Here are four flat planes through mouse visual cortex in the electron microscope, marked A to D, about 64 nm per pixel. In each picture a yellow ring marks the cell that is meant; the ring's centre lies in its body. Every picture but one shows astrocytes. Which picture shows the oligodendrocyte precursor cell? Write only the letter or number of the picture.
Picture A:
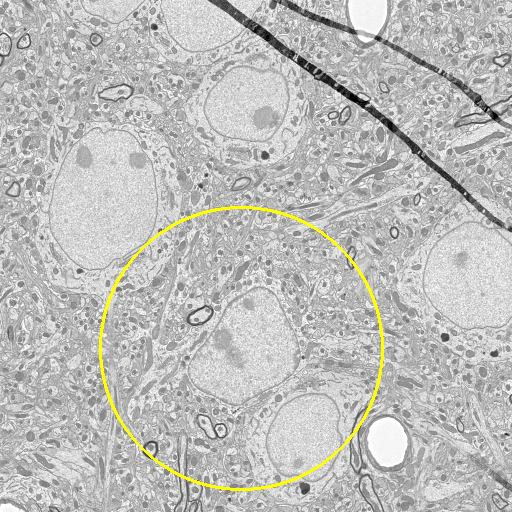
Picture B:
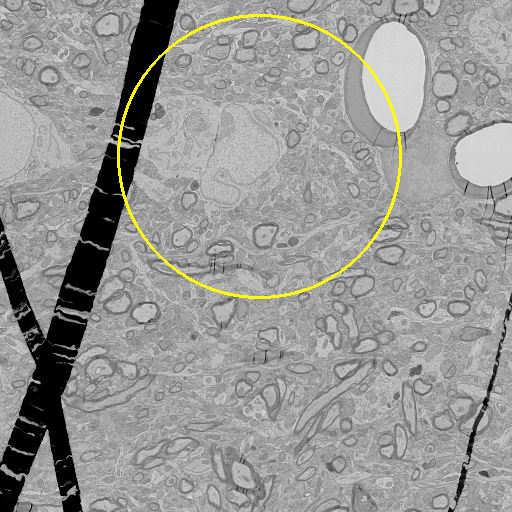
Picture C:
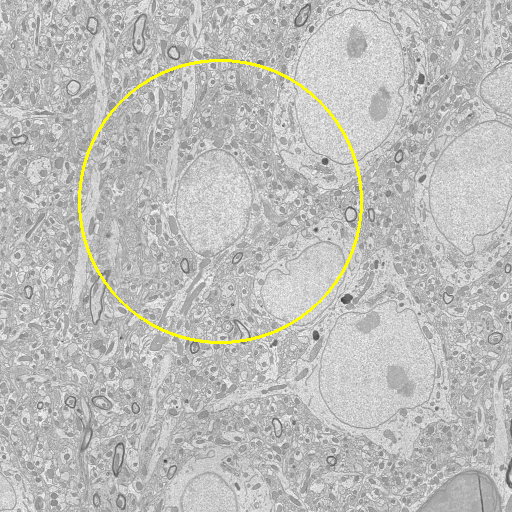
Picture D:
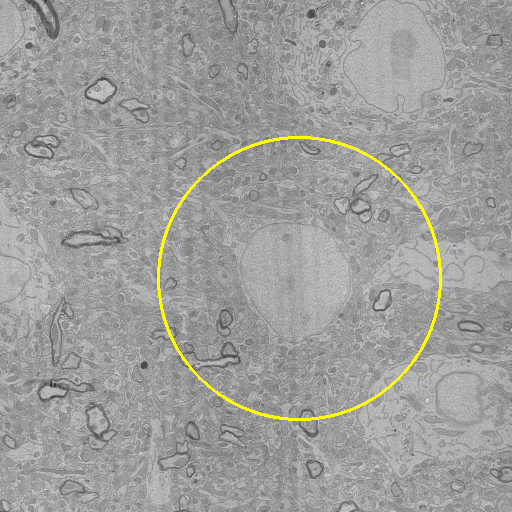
B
